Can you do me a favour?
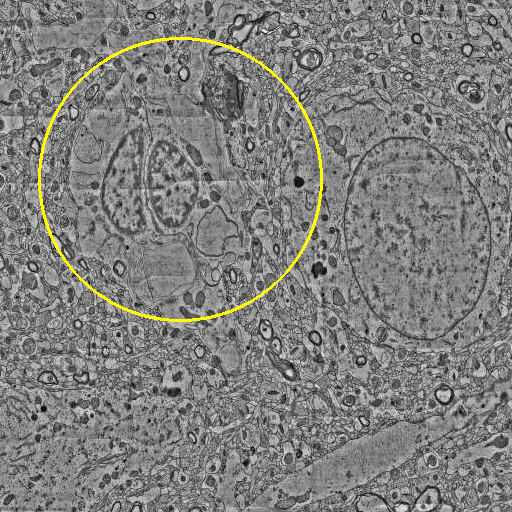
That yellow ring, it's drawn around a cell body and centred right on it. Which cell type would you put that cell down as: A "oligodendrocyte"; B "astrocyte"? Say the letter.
B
